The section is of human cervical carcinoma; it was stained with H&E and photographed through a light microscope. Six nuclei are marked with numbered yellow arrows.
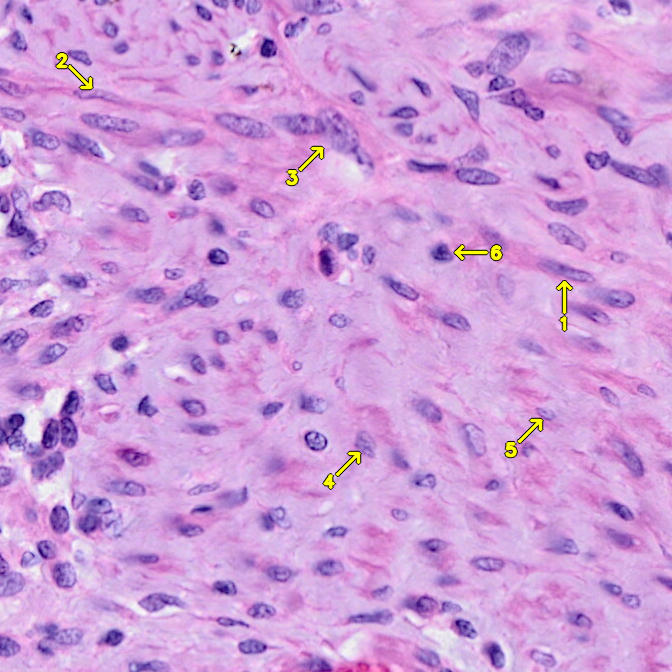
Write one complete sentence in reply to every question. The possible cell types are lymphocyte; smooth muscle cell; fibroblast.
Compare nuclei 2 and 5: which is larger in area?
Nucleus 2 covers more area, about 2.5 times as much as nucleus 5.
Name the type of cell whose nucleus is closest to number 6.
Number 6 lies closest to the nucleus of a fibroblast.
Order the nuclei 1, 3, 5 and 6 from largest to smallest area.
Largest first, the order by area is 3, 1, 6, 5.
